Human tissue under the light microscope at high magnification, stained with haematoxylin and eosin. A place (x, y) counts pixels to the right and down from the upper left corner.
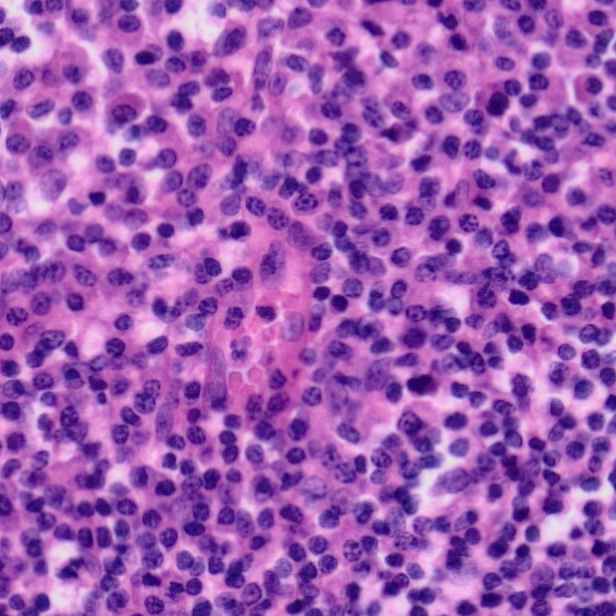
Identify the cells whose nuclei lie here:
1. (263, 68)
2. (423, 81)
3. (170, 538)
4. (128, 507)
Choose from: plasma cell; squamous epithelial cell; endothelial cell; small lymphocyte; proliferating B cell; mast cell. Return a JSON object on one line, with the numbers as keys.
{"1": "squamous epithelial cell", "2": "plasma cell", "3": "plasma cell", "4": "plasma cell"}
